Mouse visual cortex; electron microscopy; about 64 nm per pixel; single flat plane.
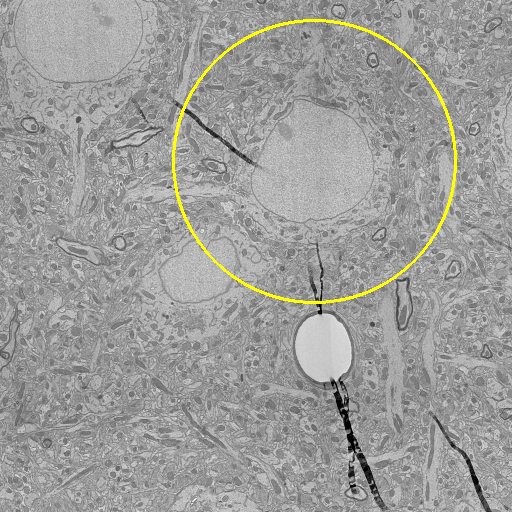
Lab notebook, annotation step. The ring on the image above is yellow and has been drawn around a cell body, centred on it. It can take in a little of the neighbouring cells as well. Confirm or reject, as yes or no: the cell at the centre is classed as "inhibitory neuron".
No, the cell is of another class.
